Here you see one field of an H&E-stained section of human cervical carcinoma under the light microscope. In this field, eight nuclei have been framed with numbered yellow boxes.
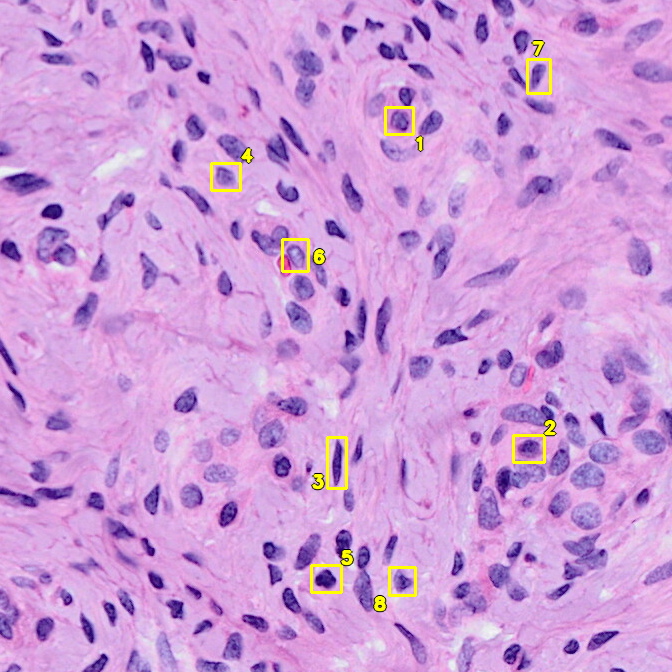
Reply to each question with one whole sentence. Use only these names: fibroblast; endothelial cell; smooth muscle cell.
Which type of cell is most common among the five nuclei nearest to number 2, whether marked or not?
Smooth muscle cells make up most of the five nuclei closest to number 2.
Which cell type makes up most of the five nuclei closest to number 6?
Most of the five nuclei nearest to number 6 are those of endothelial cells.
